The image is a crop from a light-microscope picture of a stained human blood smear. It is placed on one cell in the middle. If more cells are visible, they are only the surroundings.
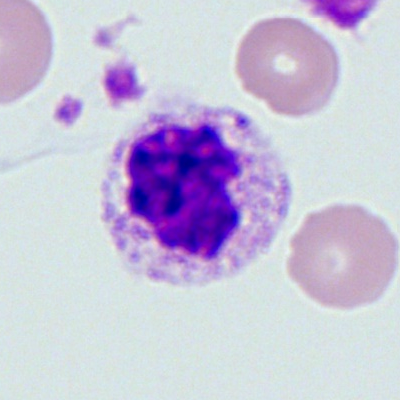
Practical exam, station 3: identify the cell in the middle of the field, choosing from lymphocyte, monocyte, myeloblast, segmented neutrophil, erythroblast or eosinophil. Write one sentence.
Regarding the central cell, it is a segmented neutrophil.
